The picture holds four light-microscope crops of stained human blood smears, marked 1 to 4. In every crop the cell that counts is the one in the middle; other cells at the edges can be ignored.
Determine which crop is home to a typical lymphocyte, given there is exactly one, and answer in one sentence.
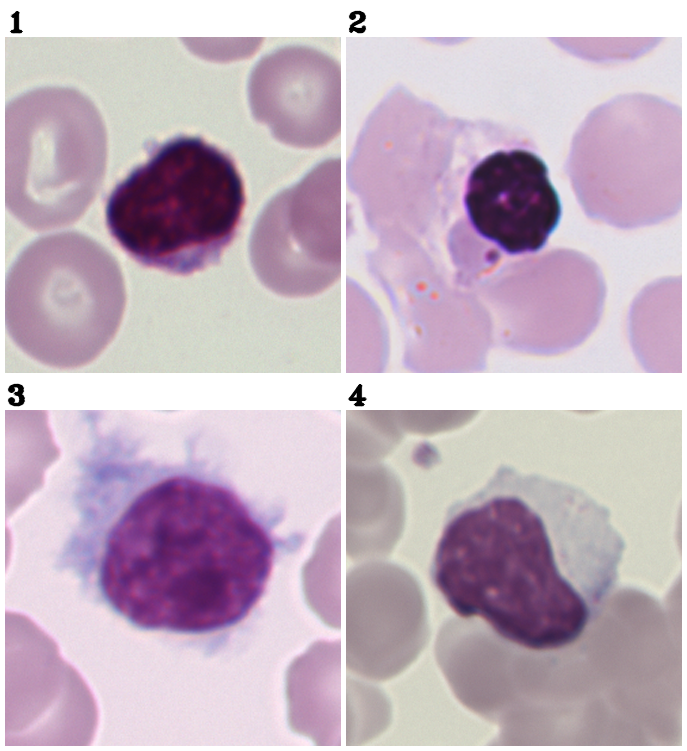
Crop 1 is where a typical lymphocyte is shown.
